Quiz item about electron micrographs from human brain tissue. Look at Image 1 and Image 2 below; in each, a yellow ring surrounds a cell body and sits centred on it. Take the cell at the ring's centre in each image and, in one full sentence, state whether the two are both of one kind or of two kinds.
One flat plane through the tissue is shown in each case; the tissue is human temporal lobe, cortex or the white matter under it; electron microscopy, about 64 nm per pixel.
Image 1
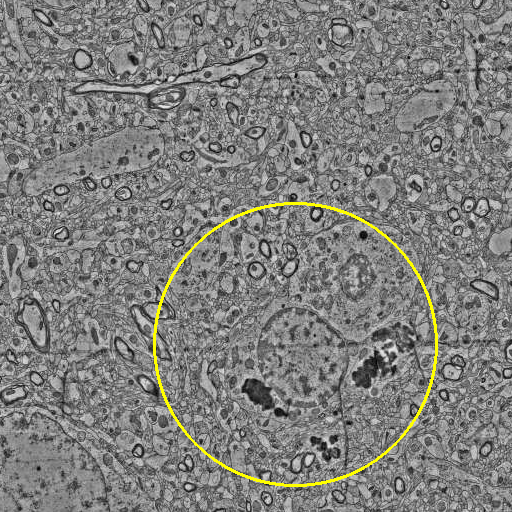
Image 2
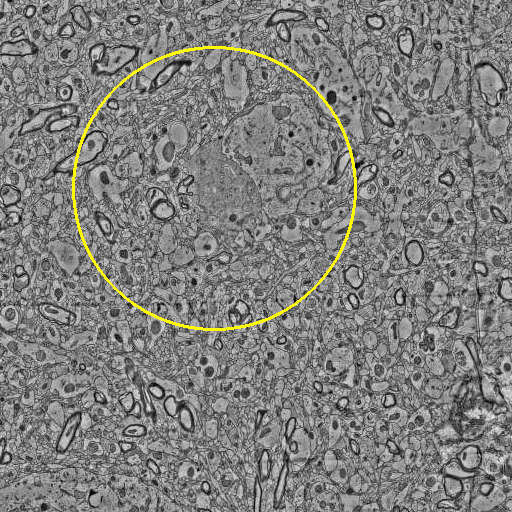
In Image 1 and Image 2, the cells at the ring centres are both of one kind.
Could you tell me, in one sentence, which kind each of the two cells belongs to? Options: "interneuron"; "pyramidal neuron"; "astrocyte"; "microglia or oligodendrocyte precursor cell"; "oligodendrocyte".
Each of the two rings is centred on an oligodendrocyte.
